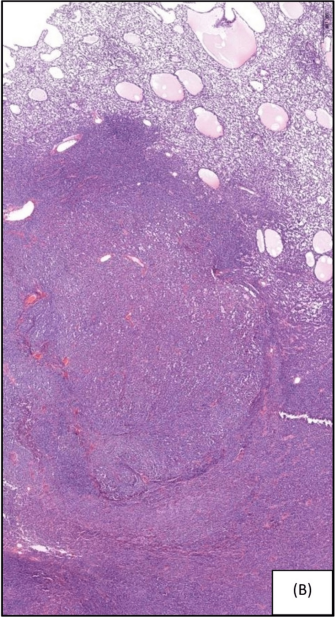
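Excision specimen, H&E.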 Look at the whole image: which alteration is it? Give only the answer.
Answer: Loose and tight reticular areas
